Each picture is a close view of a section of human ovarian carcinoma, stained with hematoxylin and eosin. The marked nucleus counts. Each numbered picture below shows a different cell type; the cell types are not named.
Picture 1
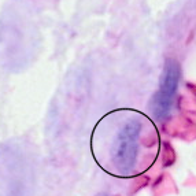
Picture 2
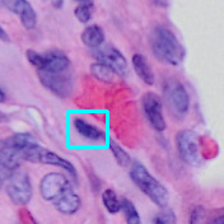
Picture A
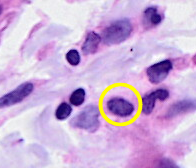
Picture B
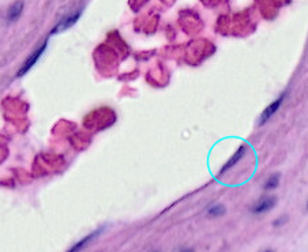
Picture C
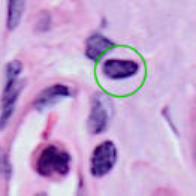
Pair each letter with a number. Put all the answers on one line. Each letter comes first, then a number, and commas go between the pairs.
A 2, B 1, C 2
